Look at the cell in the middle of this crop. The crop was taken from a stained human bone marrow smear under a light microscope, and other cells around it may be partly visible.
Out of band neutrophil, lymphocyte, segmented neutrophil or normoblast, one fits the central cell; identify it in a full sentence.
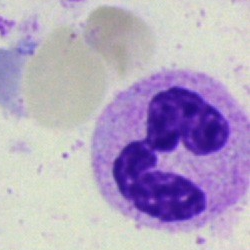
The crop centres on a single cell, and that cell is a segmented neutrophil.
